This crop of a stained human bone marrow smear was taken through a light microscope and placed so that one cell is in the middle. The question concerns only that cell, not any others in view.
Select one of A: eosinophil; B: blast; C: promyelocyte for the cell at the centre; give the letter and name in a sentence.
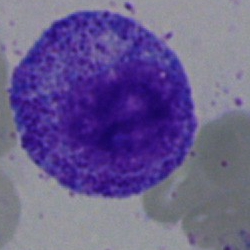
In the middle of the crop is a promyelocyte; option C is therefore correct.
